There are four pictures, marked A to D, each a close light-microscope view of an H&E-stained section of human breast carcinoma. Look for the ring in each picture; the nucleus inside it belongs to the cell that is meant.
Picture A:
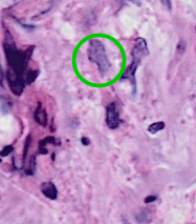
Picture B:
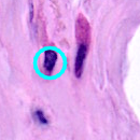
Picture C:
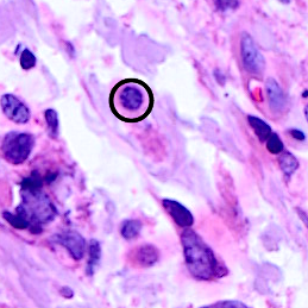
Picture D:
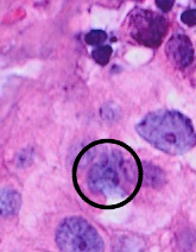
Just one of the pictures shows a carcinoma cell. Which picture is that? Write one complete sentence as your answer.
Picture D shows the carcinoma cell.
